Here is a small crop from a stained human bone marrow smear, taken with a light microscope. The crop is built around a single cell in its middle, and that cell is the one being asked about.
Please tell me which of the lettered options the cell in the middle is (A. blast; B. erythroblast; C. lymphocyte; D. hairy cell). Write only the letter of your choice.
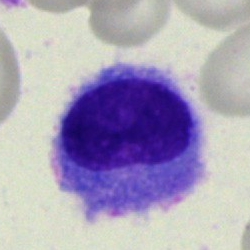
D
